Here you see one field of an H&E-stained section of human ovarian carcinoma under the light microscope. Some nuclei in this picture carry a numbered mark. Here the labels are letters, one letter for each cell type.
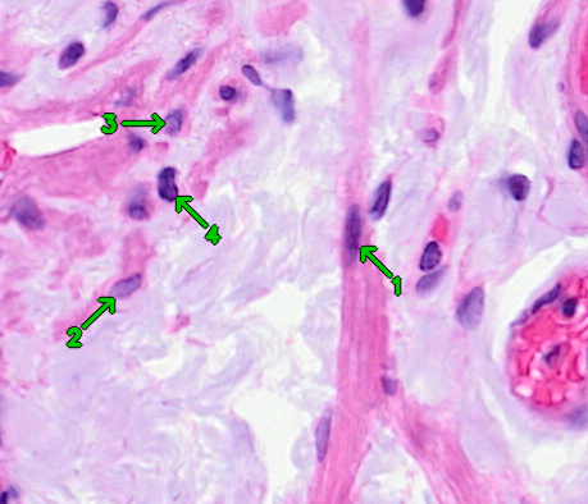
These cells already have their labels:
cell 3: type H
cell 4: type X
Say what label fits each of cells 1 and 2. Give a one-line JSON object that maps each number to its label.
{"1": "type H", "2": "type H"}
